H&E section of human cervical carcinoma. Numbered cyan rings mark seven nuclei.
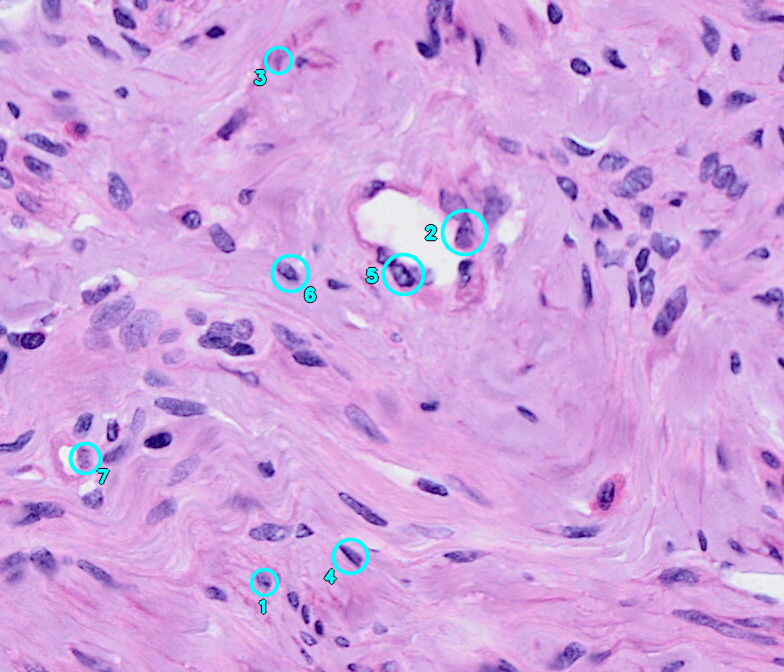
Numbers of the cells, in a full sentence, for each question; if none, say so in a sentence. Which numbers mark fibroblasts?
The cells numbered 4 and 6 are identified as fibroblasts.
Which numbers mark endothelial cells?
The cells which carry the numbers 2, 5 and 7 are endothelial cells.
